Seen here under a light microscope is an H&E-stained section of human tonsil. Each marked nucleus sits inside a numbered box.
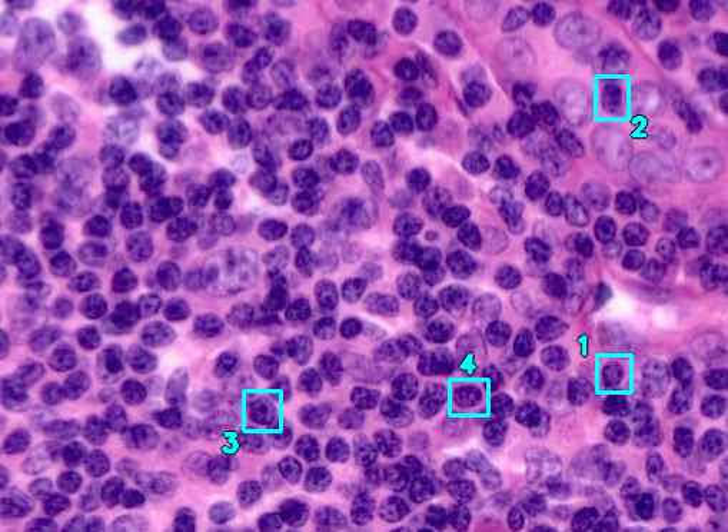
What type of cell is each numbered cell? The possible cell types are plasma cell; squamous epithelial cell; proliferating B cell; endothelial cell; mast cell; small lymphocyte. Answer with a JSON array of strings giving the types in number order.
["endothelial cell", "endothelial cell", "small lymphocyte", "small lymphocyte"]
